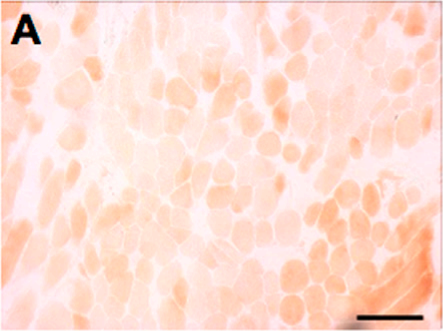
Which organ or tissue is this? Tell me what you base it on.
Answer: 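Polygonal and rounded fibres in cross section.
Hence: muscle.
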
